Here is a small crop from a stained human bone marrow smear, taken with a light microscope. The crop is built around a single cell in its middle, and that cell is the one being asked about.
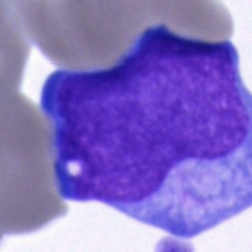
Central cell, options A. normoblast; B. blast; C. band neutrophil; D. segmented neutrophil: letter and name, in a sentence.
The centrally positioned cell is a blast, consistent with option B, which is correct.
